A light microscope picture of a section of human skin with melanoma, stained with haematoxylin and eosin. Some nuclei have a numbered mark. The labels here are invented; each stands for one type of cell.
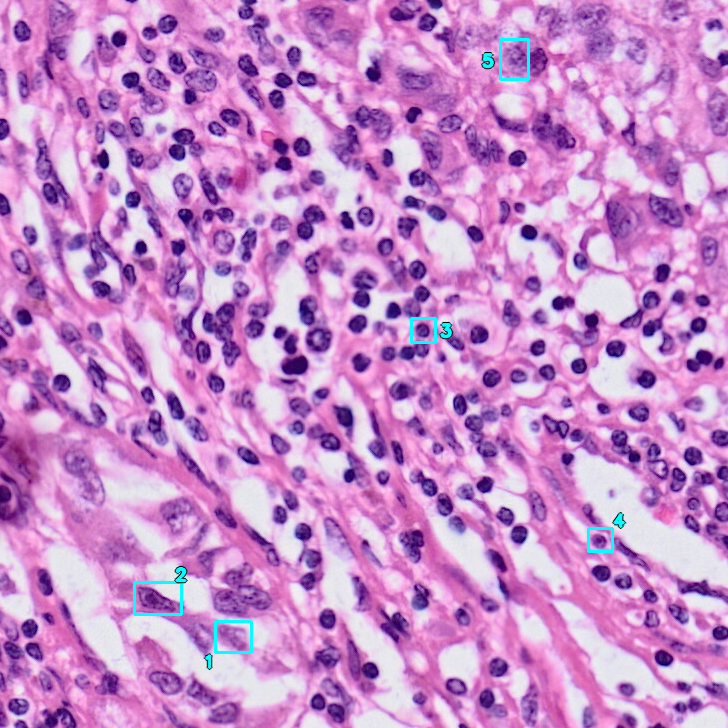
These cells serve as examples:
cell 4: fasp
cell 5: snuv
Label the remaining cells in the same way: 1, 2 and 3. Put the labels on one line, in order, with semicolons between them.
snuv; snuv; fasp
